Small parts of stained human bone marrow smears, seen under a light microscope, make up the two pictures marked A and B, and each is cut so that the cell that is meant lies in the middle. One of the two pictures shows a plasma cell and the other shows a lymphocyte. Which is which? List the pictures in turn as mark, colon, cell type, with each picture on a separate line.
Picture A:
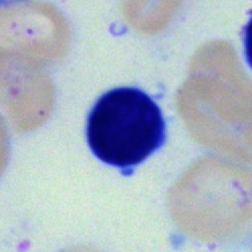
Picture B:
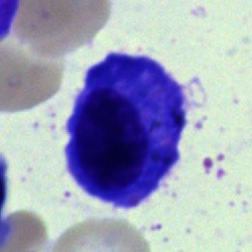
A: lymphocyte
B: plasma cell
